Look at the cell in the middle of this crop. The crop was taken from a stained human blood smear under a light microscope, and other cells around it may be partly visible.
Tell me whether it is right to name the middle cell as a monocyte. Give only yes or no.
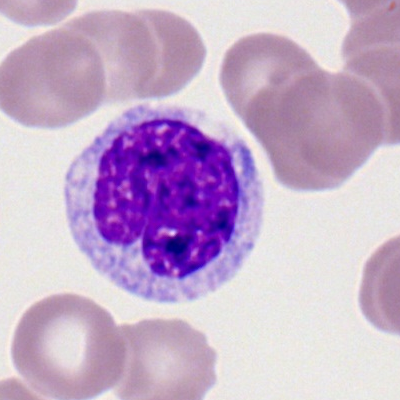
yes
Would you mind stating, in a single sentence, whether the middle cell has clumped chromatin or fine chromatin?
One feature to record is coarsely clumped chromatin.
